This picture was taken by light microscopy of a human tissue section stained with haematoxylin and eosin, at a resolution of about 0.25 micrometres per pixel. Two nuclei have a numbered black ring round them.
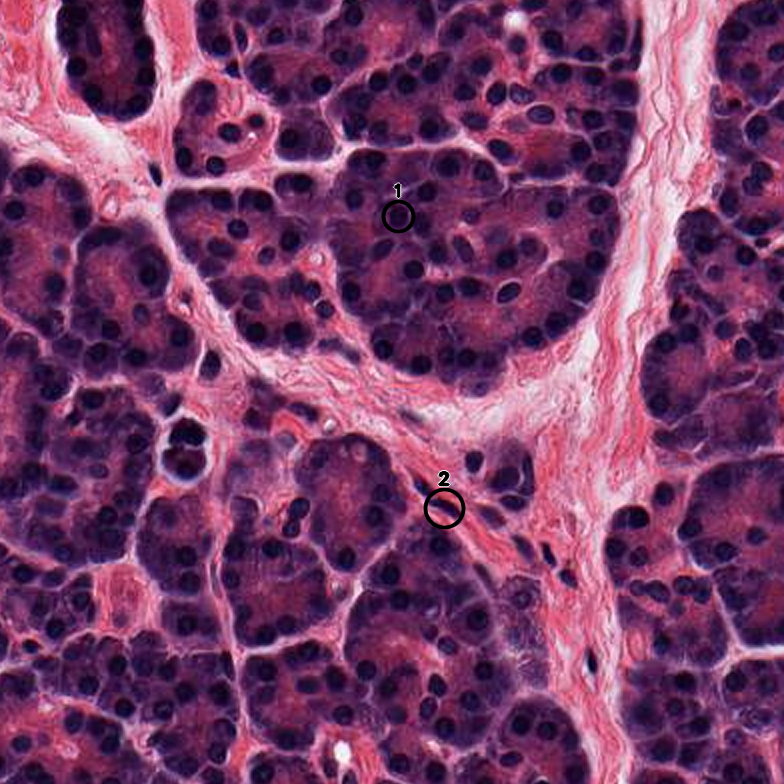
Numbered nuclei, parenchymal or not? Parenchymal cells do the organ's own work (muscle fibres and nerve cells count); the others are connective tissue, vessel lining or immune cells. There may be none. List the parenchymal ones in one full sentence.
The numbered nucleus that belongs to a parenchymal cell is nucleus 1, and no other.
